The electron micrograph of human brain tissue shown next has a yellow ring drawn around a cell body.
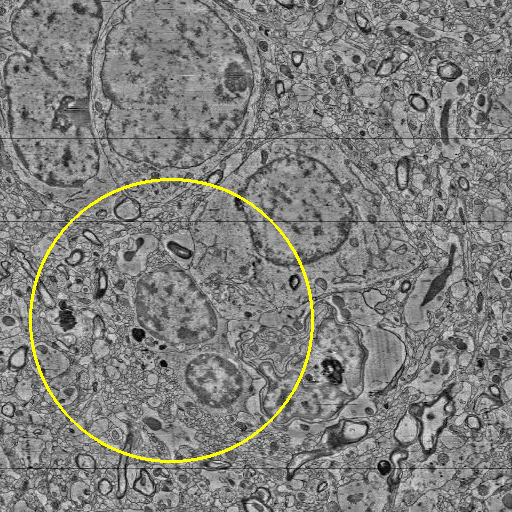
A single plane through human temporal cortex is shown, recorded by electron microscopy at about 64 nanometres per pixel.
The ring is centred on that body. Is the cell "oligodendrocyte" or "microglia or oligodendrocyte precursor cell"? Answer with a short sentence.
The cell in question is an oligodendrocyte.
